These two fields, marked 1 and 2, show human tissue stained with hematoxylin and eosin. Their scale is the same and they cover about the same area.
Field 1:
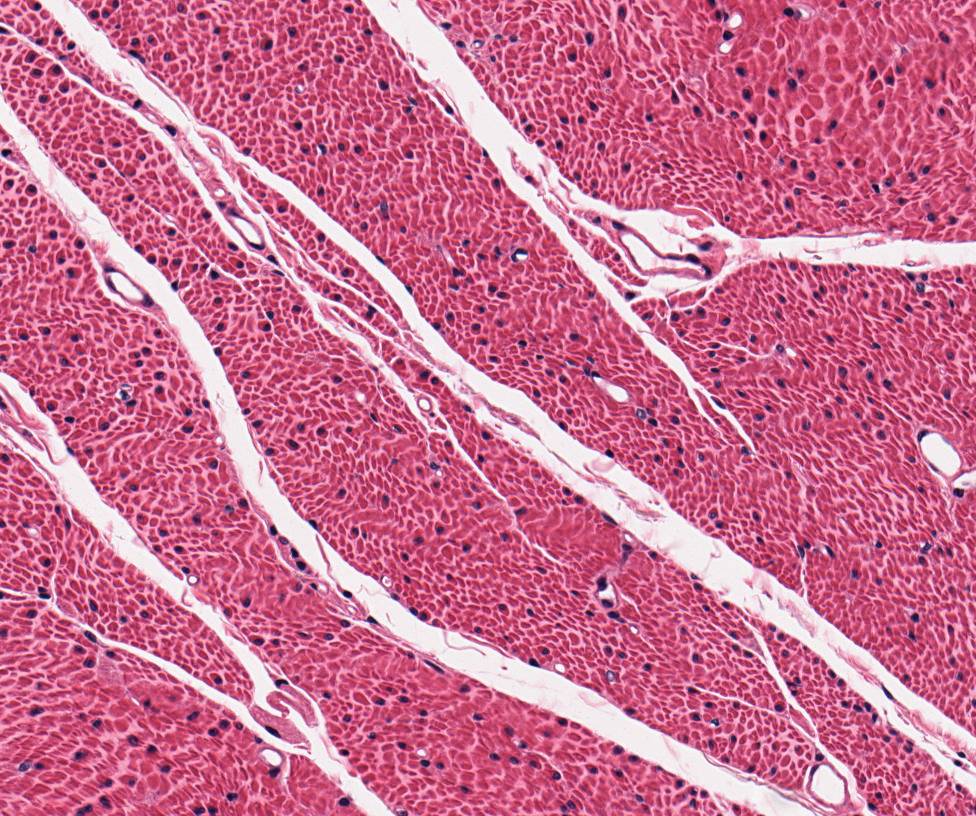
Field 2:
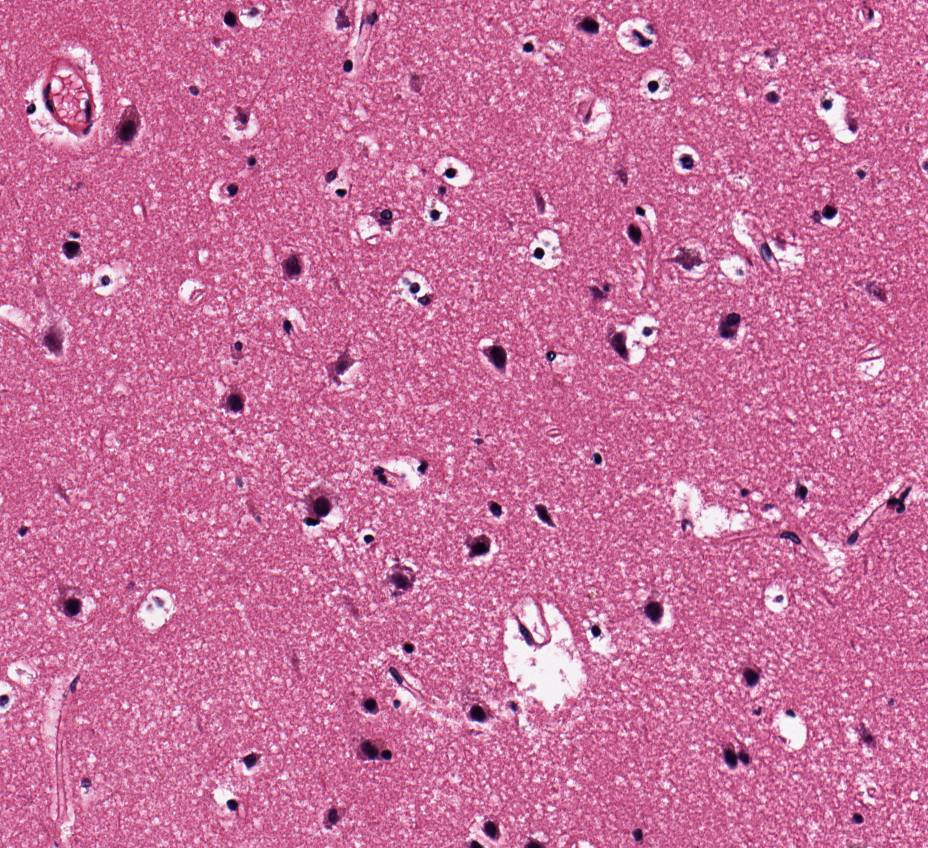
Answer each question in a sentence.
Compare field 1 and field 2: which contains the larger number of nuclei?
More nuclei lie in field 1 than in field 2.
